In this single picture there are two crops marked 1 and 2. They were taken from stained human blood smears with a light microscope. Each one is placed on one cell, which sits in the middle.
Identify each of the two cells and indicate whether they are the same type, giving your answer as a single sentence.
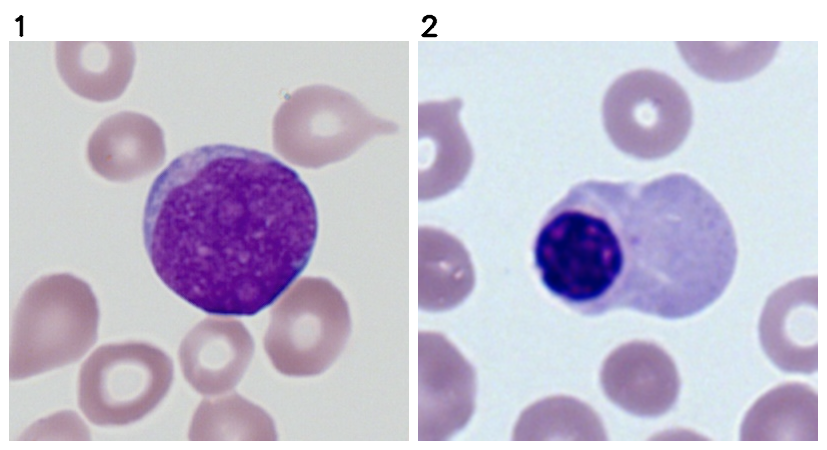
No, a myeloblast is what occupies crop 1, and an erythroblast is what occupies crop 2.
